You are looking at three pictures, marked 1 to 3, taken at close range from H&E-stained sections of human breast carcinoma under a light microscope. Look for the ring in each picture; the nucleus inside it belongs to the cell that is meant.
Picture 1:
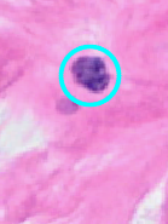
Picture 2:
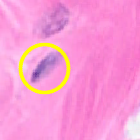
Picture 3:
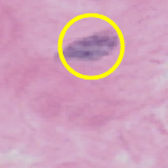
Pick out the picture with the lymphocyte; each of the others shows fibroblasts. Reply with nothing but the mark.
1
